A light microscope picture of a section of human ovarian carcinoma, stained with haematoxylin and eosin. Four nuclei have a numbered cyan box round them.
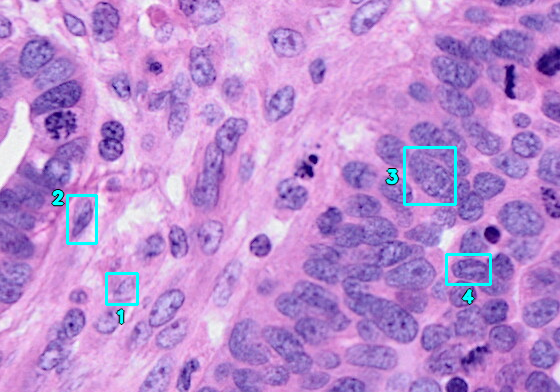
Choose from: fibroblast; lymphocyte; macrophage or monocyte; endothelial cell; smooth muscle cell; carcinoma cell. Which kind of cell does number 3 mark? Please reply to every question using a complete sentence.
The cell assigned the number 3 is a carcinoma cell.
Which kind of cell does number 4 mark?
Identified by the number 4, the cell is a carcinoma cell.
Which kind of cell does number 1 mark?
Identified as a fibroblast is the cell bearing the number 1.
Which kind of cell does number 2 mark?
The expected answer is that cell 2 is a fibroblast.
